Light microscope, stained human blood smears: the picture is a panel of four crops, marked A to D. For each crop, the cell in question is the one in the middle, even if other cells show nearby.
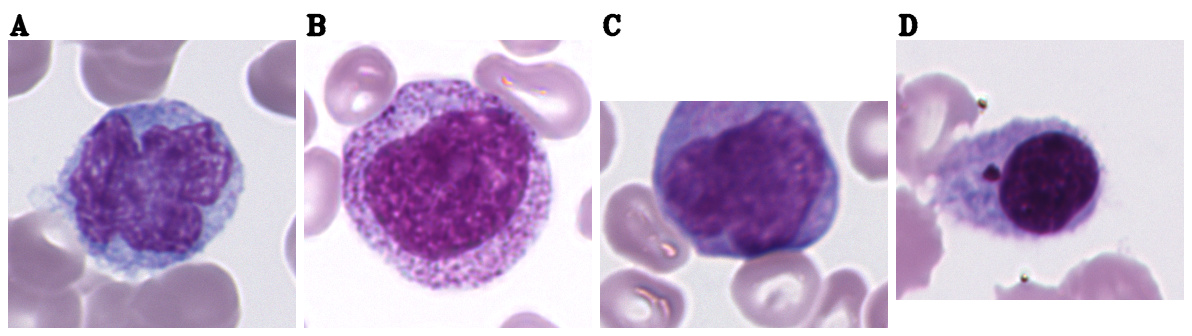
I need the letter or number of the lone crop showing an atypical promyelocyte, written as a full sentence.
Crop C is the correct crop, and it shows an atypical promyelocyte.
